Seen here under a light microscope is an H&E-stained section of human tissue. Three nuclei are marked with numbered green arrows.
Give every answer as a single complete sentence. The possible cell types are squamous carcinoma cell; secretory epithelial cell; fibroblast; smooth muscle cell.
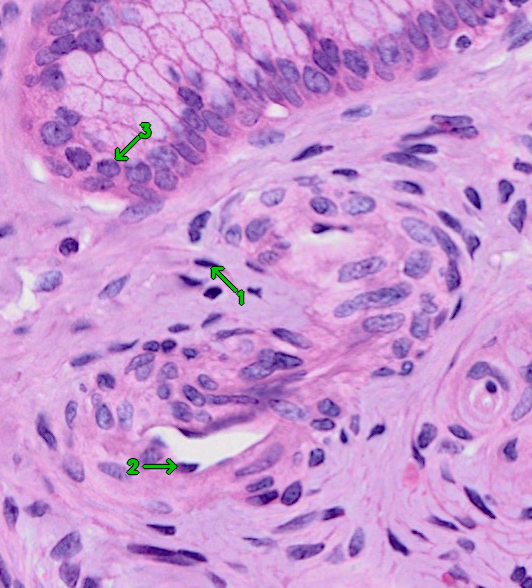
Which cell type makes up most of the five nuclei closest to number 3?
Around number 3, most of the five nearest nuclei are those of secretory epithelial cells.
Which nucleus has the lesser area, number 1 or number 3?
Nucleus 1 is the smaller one; nucleus 3 covers about 1.5 times its area.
